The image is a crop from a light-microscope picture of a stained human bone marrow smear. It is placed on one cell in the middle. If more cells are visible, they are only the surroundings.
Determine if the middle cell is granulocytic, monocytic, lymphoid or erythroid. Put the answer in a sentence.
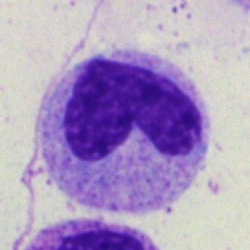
The central cell of this crop is a member of the granulocytic line of development.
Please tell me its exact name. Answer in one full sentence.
Standing at the centre of this crop is a band neutrophil.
